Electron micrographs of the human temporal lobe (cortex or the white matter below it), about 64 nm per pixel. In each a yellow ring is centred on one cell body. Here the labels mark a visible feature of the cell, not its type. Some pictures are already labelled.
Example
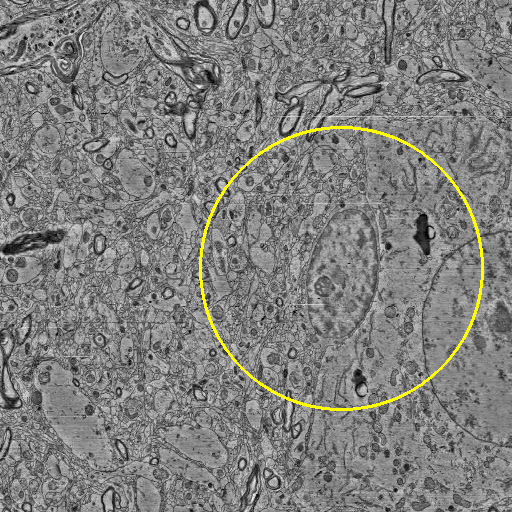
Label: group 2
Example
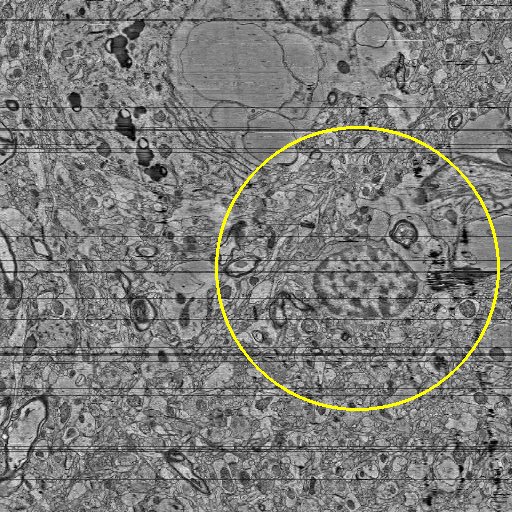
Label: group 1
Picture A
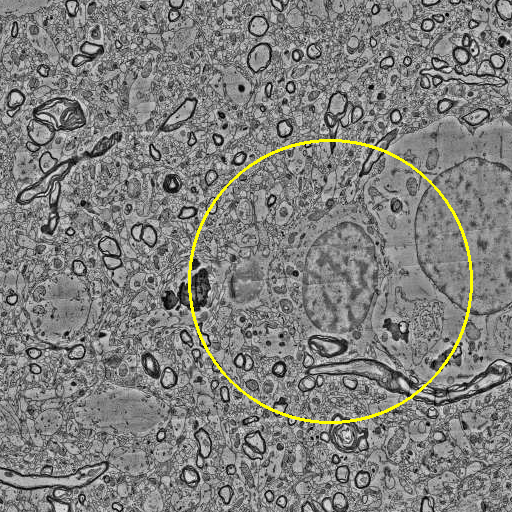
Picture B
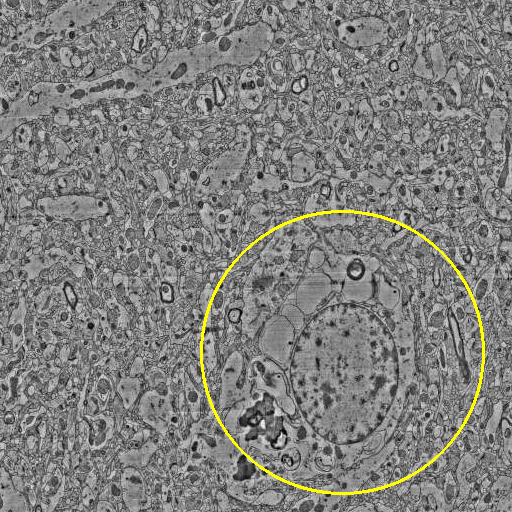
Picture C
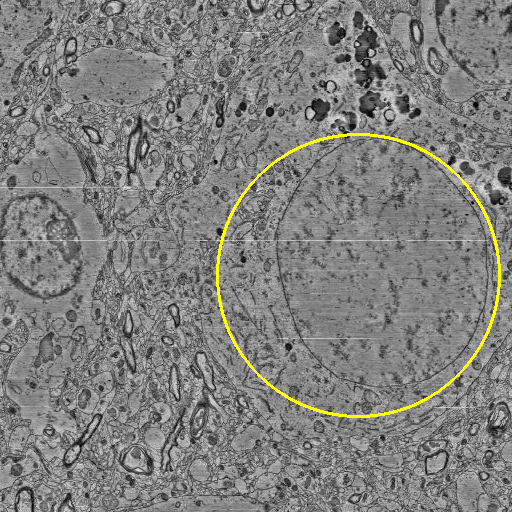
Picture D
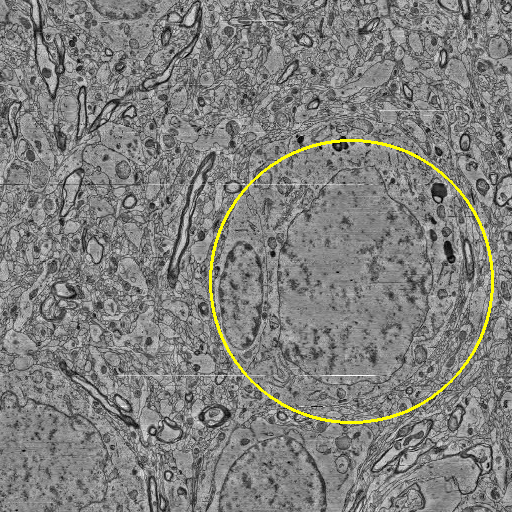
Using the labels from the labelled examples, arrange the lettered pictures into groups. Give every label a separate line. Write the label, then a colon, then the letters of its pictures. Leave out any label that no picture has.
group 1: A, B, C, D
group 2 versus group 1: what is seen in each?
Seen in group 2: nucleolus seen; seen in group 1: no nucleolus seen.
